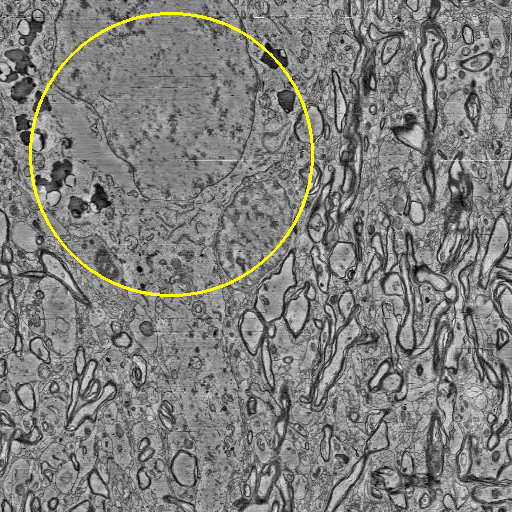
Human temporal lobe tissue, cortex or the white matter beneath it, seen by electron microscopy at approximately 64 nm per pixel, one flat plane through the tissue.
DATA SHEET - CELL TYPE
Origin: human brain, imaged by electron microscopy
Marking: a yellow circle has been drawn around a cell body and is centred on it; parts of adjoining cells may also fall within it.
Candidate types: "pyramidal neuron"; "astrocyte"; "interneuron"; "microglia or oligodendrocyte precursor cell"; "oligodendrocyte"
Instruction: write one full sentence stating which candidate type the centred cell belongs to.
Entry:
The cell body at the centre of the yellow ring in this micrograph belongs to a pyramidal neuron.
